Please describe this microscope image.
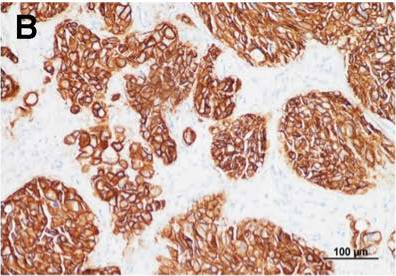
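Nests of tumor epithelial cells are packed into rounded and irregular islands that stand out dark brown against a pale stroma. Within each nest the brown staining is strongest along the cell borders, outlining individual polygonal cells whose blue nuclei are partly hidden. The stroma between the nests is loose, pale and unstained, holding only scattered small blue nuclei.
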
